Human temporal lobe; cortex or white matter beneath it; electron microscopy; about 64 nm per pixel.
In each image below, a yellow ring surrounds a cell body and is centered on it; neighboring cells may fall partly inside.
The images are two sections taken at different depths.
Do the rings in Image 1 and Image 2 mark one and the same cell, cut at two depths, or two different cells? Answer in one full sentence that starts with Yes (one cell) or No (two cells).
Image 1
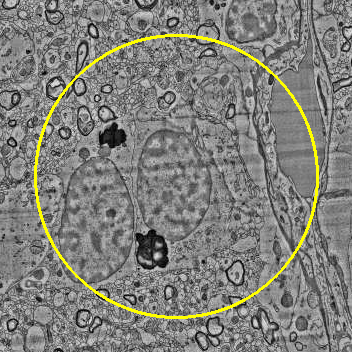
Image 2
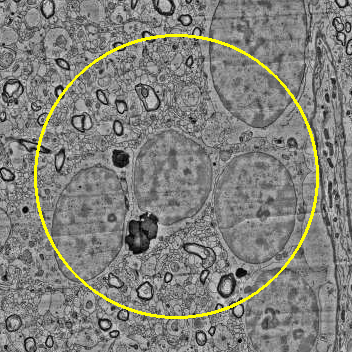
Yes, the two marked outlines come from one and the same cell.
